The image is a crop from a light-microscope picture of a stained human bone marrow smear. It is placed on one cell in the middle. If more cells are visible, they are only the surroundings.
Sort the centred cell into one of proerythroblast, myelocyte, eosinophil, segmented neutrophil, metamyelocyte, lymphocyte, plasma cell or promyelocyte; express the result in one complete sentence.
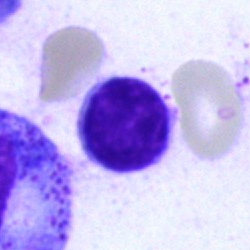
Here the cell in the middle is a lymphocyte.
